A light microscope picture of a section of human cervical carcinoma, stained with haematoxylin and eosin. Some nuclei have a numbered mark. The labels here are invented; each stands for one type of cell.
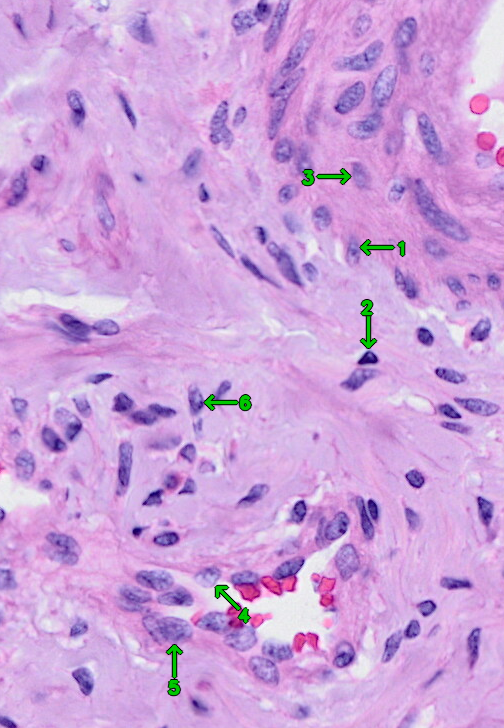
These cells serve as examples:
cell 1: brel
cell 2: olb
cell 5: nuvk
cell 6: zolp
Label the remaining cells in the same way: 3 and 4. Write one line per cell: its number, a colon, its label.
3: brel
4: nuvk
